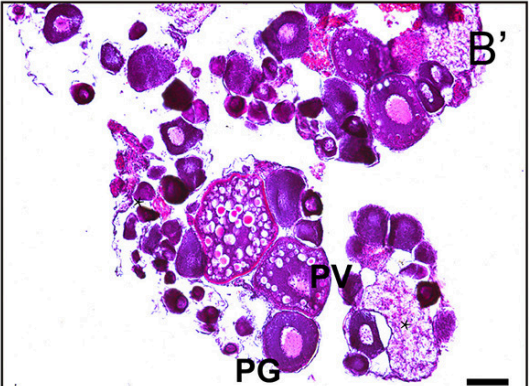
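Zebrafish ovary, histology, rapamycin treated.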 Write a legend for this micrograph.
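Many small oocytes have dense, dark purple cytoplasm and a round, paler central nucleus, some with small nucleoli at its edge. A few medium-sized oocytes have a paler purple cytoplasm that holds clear, empty-looking vacuoles. Large oocytes filled with pink yolk are absent. Near the lower right lies a follicle whose shape has collapsed and whose contents are pale, loose and fragmented: a degenerating, atretic follicle. The tissue between the oocytes is loose and sparse.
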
